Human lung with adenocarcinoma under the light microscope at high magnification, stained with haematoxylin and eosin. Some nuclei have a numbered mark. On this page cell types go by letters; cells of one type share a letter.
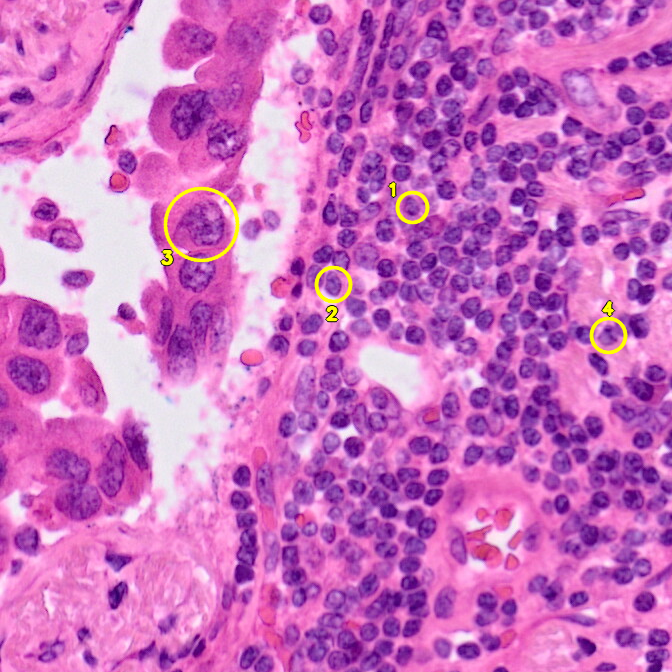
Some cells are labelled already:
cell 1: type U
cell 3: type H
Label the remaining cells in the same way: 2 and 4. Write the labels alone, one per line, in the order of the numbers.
type U
type U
